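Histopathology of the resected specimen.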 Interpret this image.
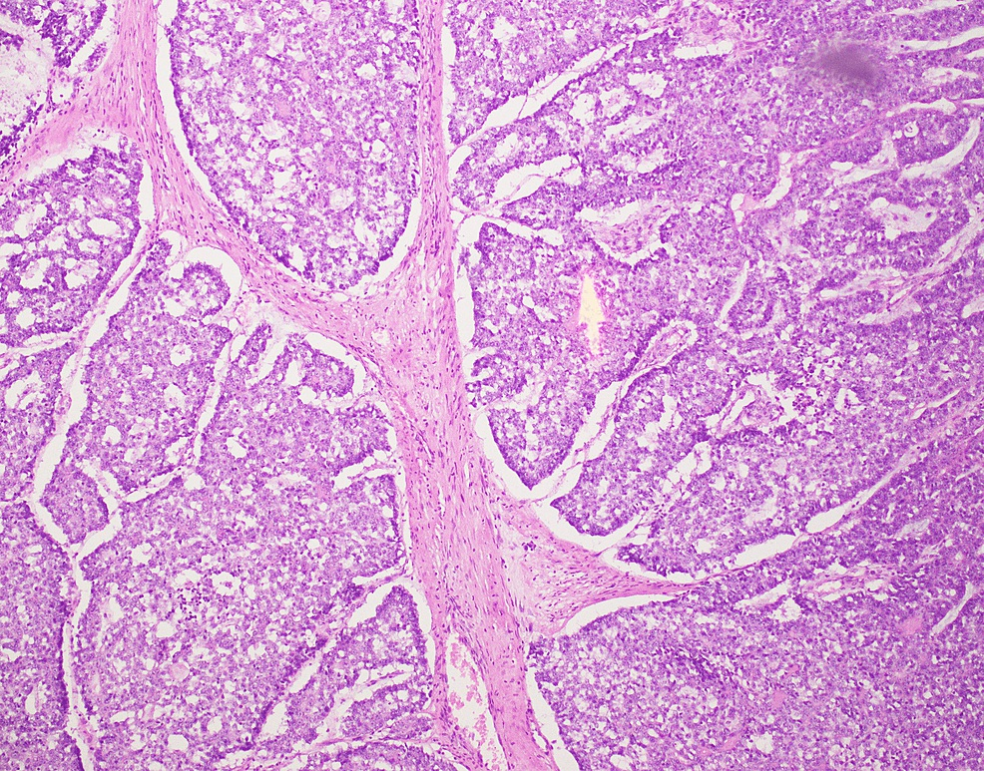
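Large lobules of tightly packed cells with purple cytoplasm and small dark nuclei are separated by pink bands of fibrous tissue containing slender spindle-shaped nuclei. Clefts separate the lobules from the bands. Within the lobules, many pale, cleared-out spaces and cells with clear cytoplasm are scattered among the purple cells, and some areas form elongated channels. This is a multilobulated neoplasm of polygonal cells with basophilic cytoplasm and clear cells.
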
